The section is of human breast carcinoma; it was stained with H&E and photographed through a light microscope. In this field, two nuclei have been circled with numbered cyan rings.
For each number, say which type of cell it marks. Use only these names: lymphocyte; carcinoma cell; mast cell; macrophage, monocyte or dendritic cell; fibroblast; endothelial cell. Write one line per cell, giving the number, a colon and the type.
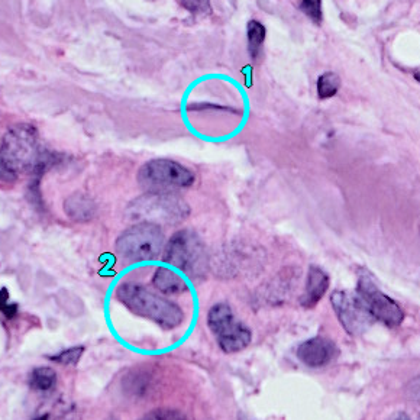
1: fibroblast
2: carcinoma cell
